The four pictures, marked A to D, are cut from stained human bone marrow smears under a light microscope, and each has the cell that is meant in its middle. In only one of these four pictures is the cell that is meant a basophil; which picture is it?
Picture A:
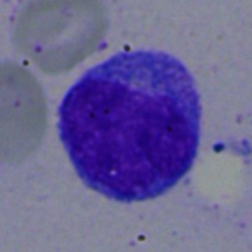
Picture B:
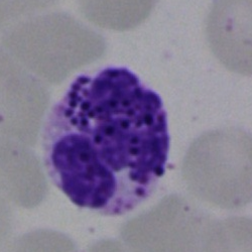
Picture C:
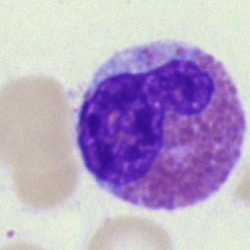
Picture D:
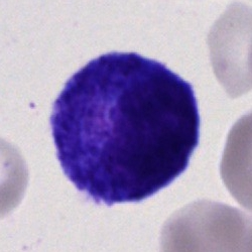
B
